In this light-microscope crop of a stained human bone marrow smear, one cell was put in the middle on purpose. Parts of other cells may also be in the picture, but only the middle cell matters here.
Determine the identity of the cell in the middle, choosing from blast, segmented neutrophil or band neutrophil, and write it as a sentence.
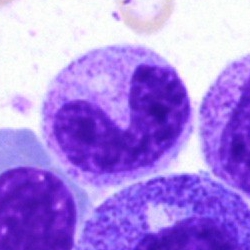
The cell the crop is centered on is a band neutrophil.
